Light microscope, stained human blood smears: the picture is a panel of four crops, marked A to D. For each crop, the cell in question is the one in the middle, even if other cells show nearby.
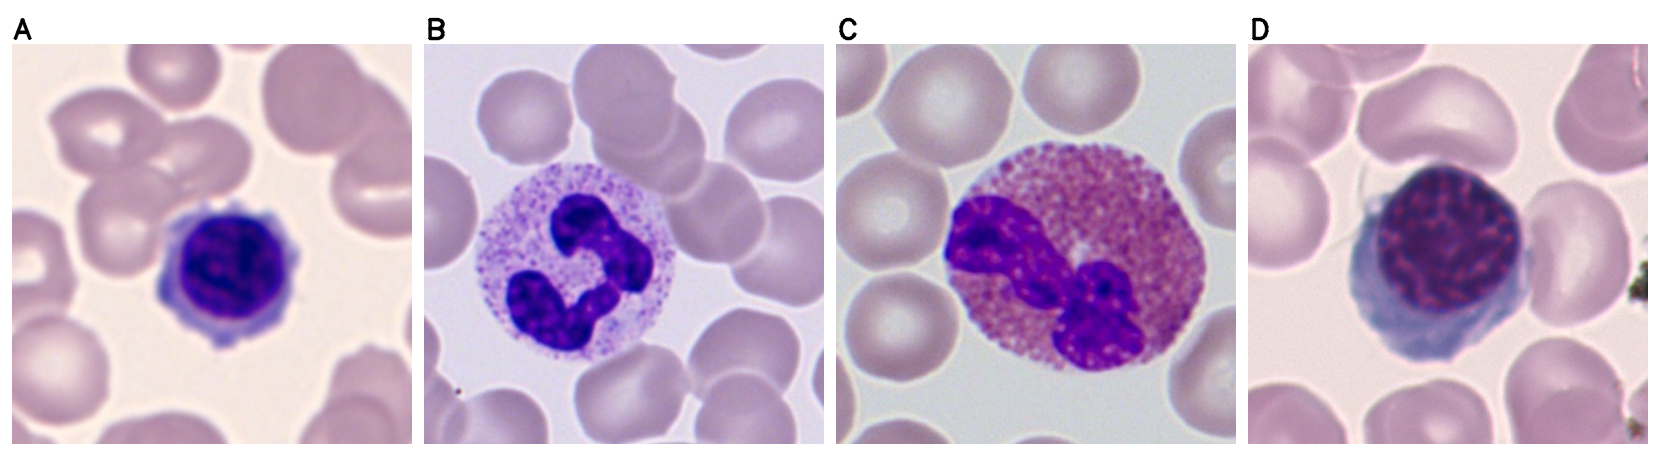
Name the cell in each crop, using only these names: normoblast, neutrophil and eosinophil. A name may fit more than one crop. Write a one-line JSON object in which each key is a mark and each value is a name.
{"A": "normoblast", "B": "neutrophil", "C": "eosinophil", "D": "normoblast"}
